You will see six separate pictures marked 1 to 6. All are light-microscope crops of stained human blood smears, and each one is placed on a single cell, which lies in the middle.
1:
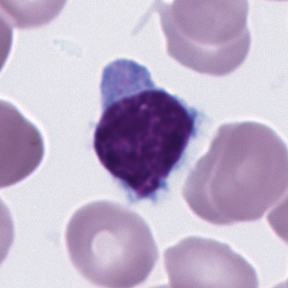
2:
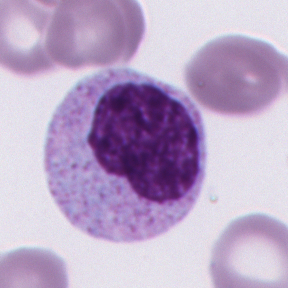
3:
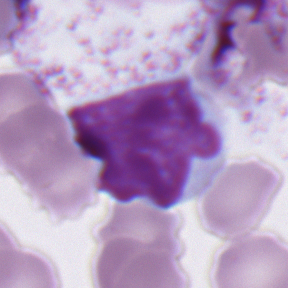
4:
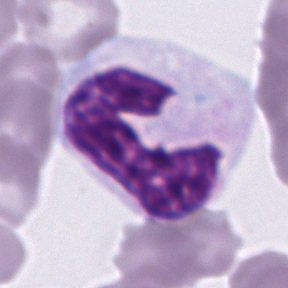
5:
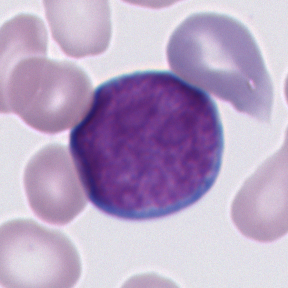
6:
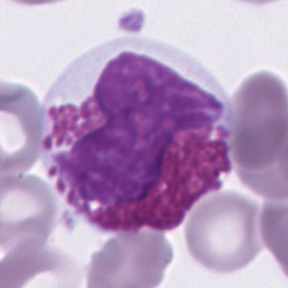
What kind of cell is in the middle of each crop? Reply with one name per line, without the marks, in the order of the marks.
typical lymphocyte
metamyelocyte
large granular lymphocyte
band neutrophil
myeloblast
eosinophil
